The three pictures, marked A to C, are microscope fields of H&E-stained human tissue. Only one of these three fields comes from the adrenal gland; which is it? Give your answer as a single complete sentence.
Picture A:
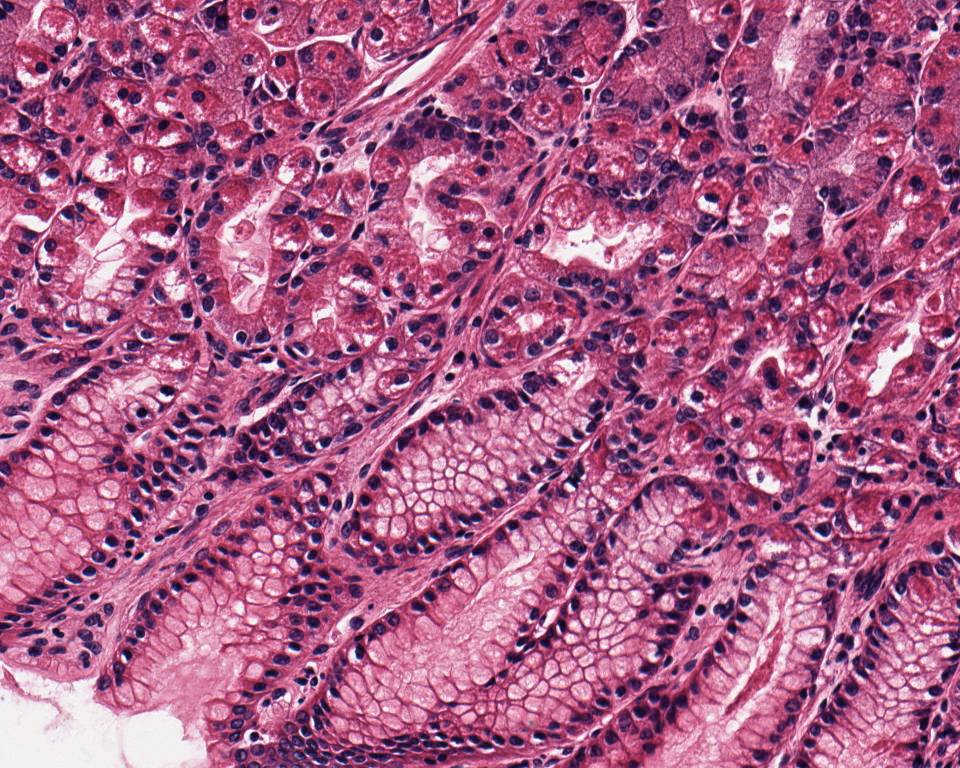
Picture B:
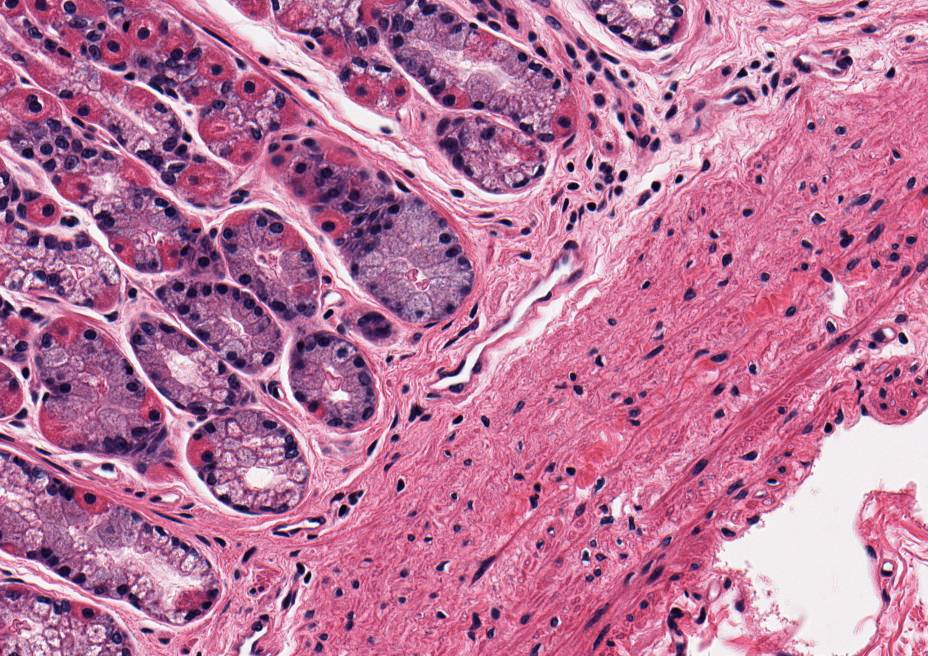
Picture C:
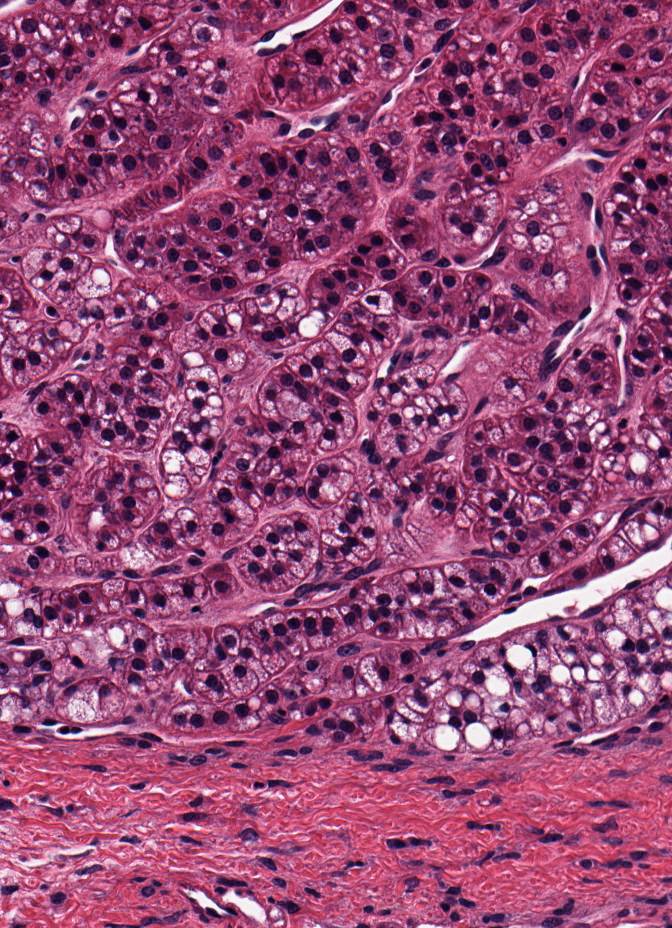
The one that comes from the adrenal gland is picture C.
